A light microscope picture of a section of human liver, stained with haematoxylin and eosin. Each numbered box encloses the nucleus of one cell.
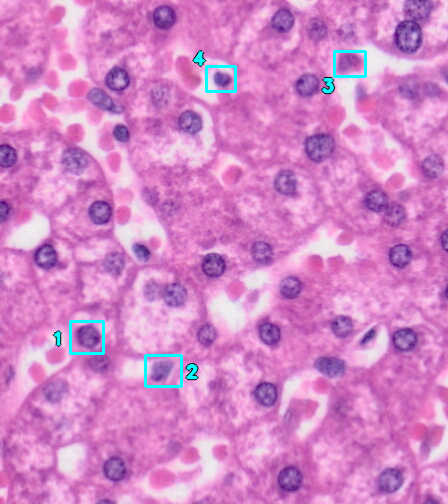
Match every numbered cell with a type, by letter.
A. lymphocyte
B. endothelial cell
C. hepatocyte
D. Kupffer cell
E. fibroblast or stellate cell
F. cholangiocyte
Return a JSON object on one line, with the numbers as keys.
{"1": "C", "2": "B", "3": "D", "4": "A"}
